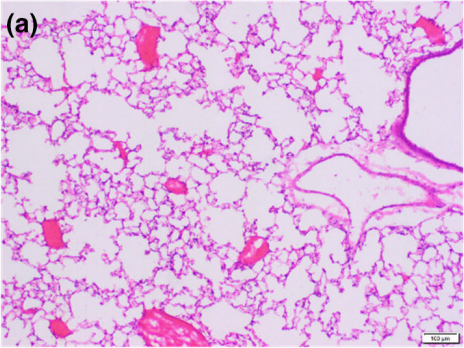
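This is lung parenchyma showing a fine network of alveoli separated by thin pink septa. Small dark purple nuclei are scattered sparsely along the delicate alveolar walls. Several blood vessels filled with bright pink material lie among the air spaces, and a larger airway or vessel with a thicker pink wall runs across the right side. The air spaces are open and evenly spread, with no thickening of the walls.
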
